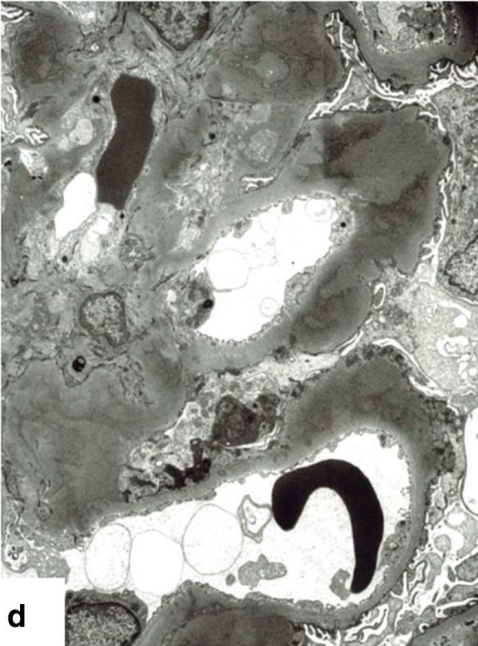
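This is an electron micrograph of glomerular capillary loops. The capillary walls are greatly thickened by broad grey deposits that are mottled and far less dark than the red blood cells in the lumina. Open capillary lumina contain dark red blood cells, and cells with nuclei lie between the loops. The thickened walls have uneven, lumpy outer contours.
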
